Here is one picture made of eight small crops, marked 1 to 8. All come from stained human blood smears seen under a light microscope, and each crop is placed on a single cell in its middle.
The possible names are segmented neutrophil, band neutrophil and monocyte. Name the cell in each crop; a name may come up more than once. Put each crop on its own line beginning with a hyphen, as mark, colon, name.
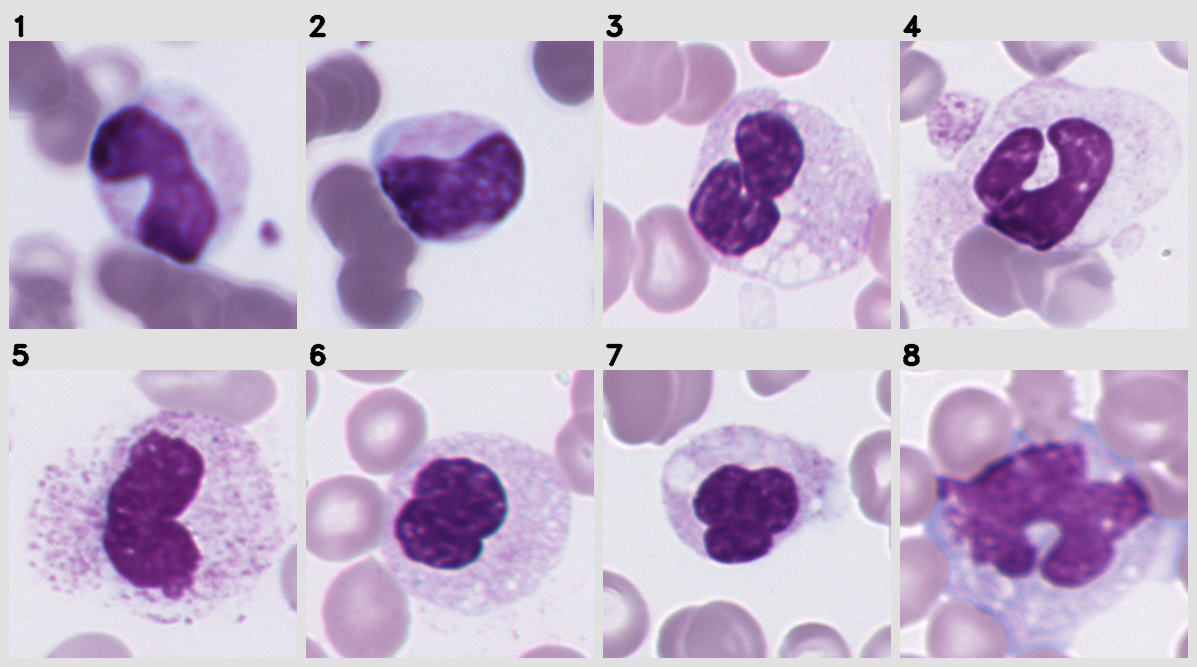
- 1: band neutrophil
- 2: band neutrophil
- 3: segmented neutrophil
- 4: band neutrophil
- 5: band neutrophil
- 6: segmented neutrophil
- 7: segmented neutrophil
- 8: monocyte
